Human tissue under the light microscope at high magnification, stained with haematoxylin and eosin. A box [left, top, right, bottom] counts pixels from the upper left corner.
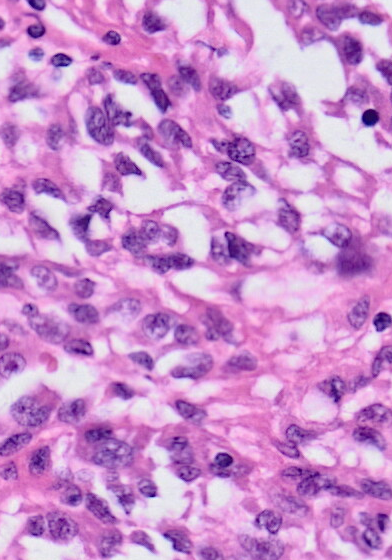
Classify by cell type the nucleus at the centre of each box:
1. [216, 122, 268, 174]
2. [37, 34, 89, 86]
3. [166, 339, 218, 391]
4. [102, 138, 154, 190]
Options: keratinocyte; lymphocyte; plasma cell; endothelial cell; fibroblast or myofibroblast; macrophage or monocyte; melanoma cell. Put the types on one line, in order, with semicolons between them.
melanoma cell; lymphocyte; melanoma cell; melanoma cell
